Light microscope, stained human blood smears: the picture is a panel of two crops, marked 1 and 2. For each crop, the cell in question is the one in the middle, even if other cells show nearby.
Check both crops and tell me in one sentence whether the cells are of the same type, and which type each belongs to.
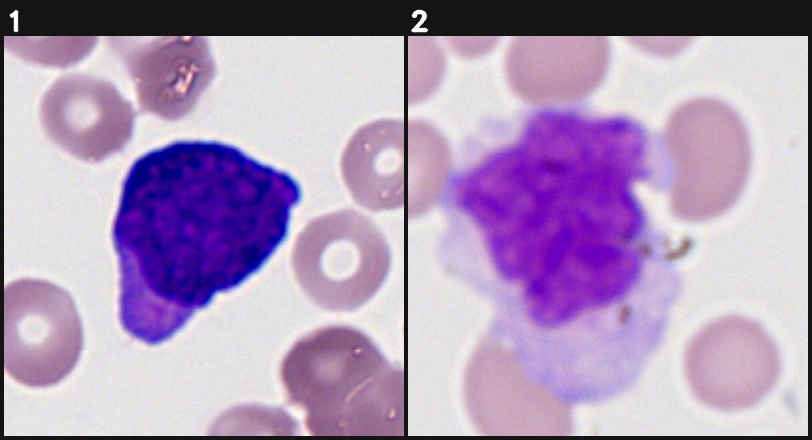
No, a monocyte is in crop 2, and a myeloblast is in crop 1.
